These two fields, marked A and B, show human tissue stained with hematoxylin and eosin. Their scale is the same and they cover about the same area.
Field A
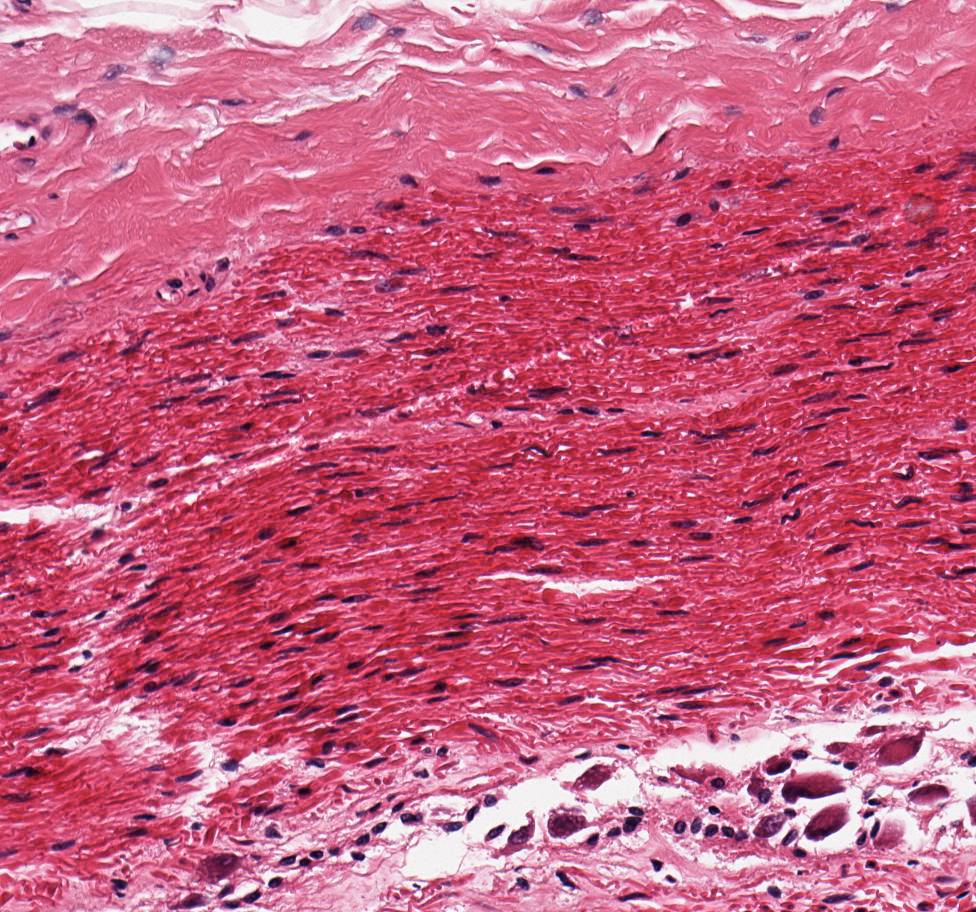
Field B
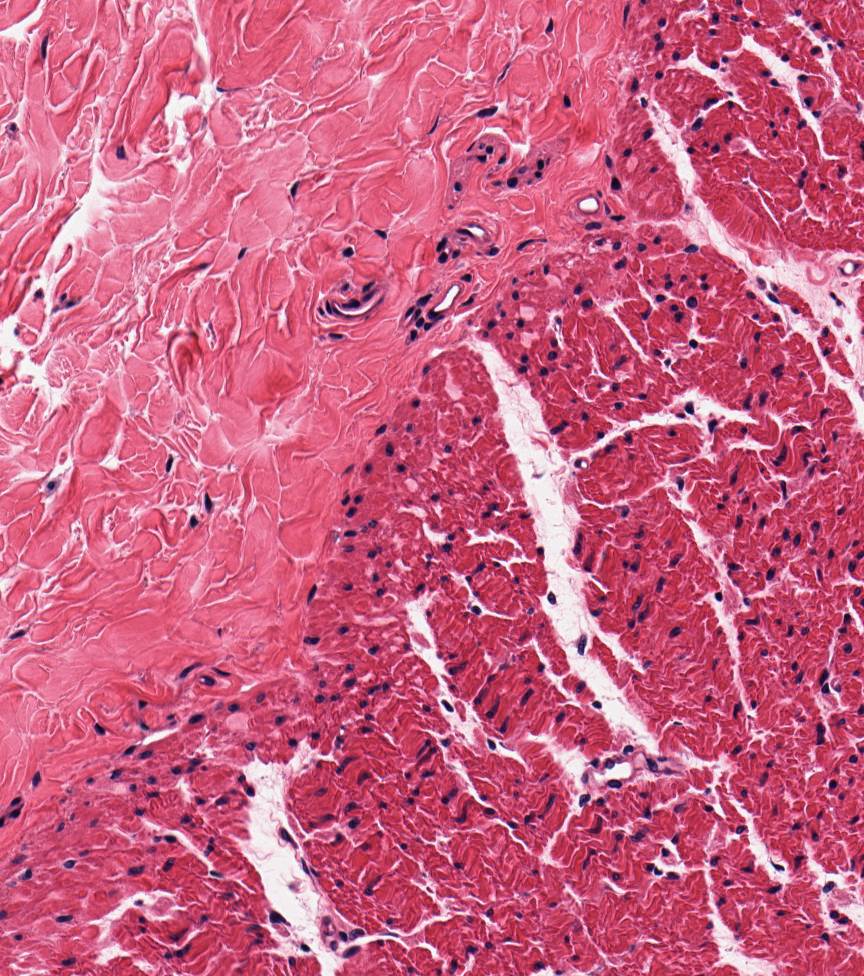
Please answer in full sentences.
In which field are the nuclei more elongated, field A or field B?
The nuclei are more elongated in field A.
